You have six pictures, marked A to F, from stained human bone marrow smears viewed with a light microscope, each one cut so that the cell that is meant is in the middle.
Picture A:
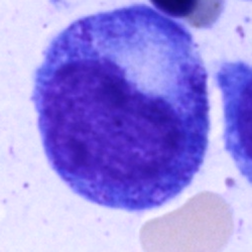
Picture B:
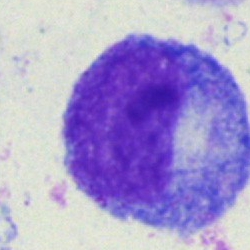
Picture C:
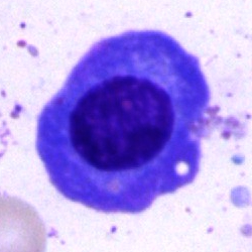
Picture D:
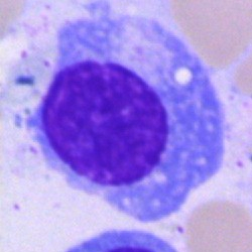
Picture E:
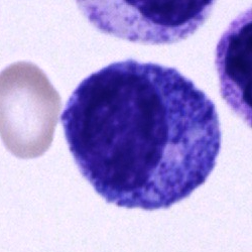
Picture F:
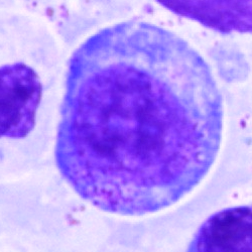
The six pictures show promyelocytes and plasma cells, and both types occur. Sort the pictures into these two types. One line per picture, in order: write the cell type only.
promyelocyte
promyelocyte
plasma cell
plasma cell
promyelocyte
promyelocyte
